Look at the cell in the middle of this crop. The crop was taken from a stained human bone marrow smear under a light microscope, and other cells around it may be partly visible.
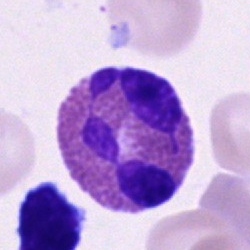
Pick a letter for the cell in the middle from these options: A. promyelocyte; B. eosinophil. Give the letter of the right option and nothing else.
B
